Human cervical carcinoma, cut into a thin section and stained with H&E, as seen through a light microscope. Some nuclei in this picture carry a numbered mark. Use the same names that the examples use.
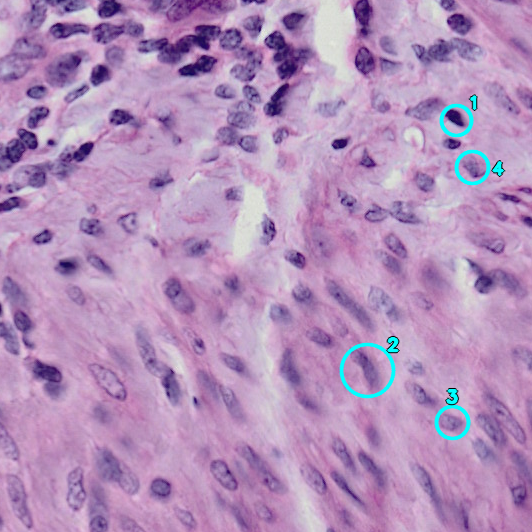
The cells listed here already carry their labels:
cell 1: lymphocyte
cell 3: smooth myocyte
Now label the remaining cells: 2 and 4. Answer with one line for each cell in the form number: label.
2: smooth myocyte
4: smooth myocyte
